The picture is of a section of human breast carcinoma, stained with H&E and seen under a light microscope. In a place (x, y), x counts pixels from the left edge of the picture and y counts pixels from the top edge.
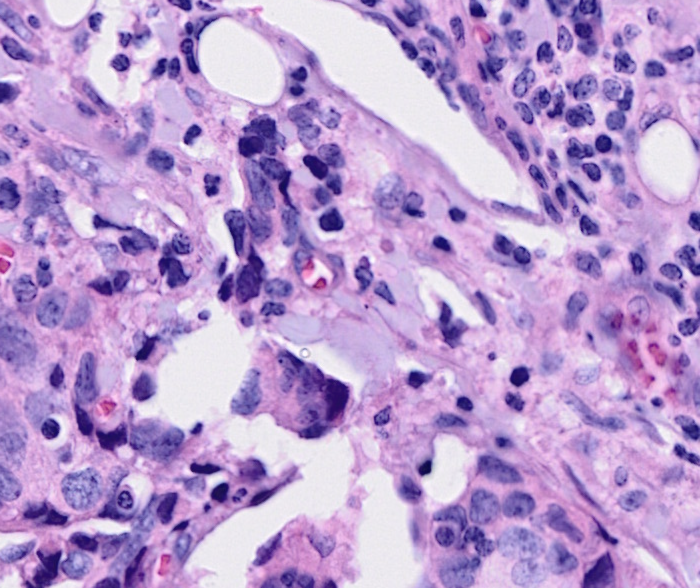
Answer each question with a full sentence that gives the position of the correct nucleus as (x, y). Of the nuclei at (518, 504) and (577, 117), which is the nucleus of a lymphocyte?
It is the nucleus at (577, 117) that forms part of a lymphocyte.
